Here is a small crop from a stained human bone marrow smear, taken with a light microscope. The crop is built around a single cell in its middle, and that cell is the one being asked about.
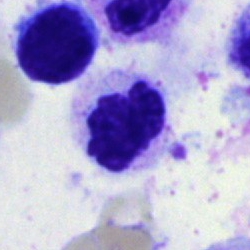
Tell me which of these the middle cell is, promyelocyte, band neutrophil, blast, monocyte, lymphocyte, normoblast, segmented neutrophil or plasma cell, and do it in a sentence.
For this crop, the central cell is a segmented neutrophil.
